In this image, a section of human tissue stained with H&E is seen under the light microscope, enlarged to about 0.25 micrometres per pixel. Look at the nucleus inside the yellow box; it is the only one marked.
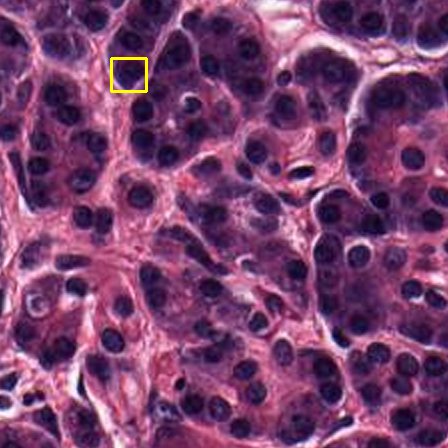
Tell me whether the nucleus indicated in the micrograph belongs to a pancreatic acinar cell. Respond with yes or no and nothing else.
yes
